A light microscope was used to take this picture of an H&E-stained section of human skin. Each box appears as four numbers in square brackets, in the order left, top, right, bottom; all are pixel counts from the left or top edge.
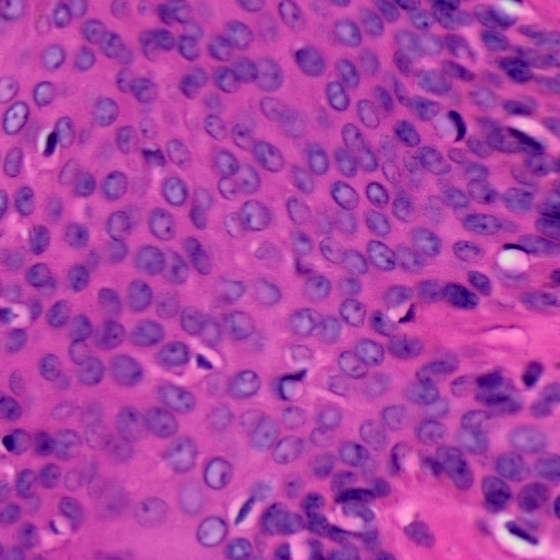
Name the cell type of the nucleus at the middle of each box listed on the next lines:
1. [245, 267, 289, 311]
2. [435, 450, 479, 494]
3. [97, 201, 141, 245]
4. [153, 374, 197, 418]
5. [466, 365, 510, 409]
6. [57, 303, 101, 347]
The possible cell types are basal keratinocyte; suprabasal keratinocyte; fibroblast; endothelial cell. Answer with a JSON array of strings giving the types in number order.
["suprabasal keratinocyte", "basal keratinocyte", "suprabasal keratinocyte", "suprabasal keratinocyte", "basal keratinocyte", "suprabasal keratinocyte"]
